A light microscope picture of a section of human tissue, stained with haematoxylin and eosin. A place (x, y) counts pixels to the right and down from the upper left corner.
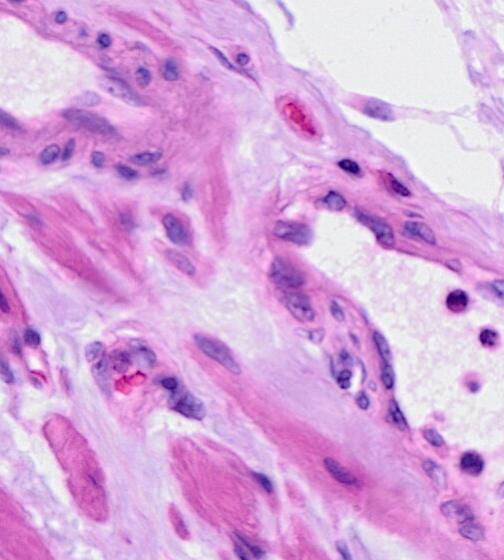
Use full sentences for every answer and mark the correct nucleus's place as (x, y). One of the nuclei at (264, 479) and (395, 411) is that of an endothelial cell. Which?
The nucleus at (395, 411) is the member of the pair belonging to an endothelial cell.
